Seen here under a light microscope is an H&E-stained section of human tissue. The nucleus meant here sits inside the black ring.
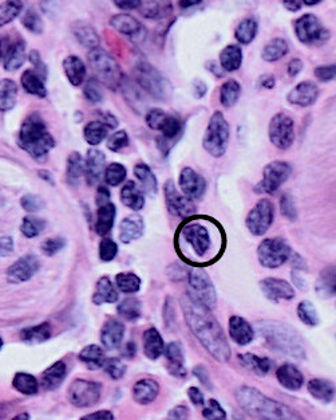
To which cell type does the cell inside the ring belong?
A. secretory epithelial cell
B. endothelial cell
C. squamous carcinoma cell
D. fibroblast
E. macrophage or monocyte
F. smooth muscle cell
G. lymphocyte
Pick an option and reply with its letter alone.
G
